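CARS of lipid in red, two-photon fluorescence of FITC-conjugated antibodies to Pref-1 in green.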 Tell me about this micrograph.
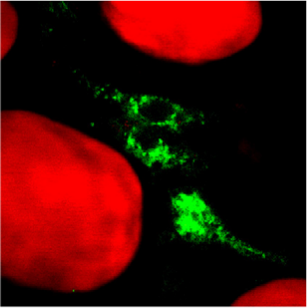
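Large smooth red rounded bodies fill the corners of the field, and in the narrow space between them lies a small cluster of green cells. The green is granular and fills the cytoplasm, leaving dark round unlabeled centres in the upper cells, and the lower cell tapers into a tail. The green cells hold no red droplets of their own.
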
